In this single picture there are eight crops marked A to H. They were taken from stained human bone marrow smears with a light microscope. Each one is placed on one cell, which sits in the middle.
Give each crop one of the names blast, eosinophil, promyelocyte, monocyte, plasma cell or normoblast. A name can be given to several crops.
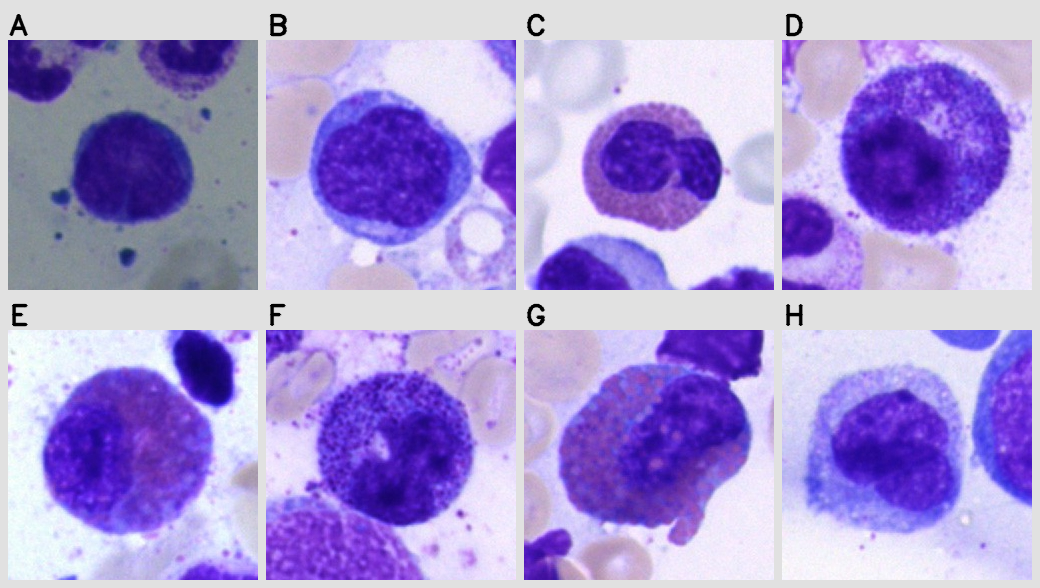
A: blast
B: monocyte
C: eosinophil
D: promyelocyte
E: eosinophil
F: promyelocyte
G: eosinophil
H: monocyte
